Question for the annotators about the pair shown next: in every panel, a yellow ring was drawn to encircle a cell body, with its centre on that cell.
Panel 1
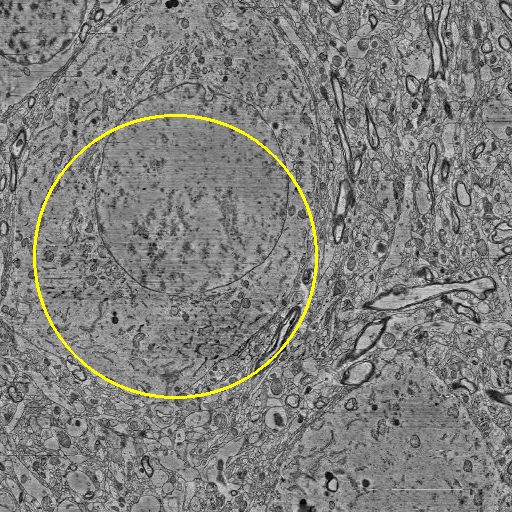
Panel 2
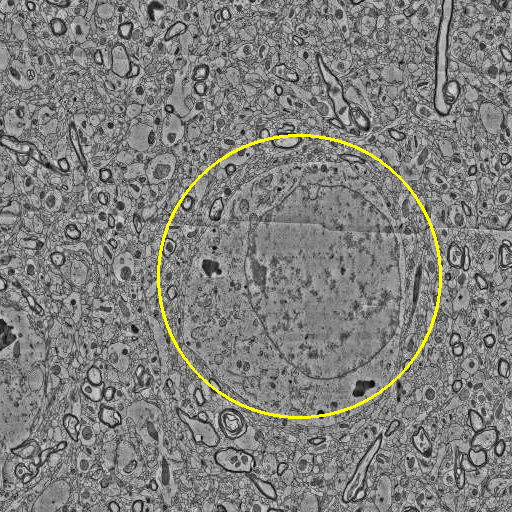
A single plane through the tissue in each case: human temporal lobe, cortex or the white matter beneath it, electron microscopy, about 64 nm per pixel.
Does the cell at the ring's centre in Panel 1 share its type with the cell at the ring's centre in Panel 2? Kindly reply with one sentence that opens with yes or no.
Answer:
Yes, in Panels 1 and 2 the cells at the ring centres belong to a single type.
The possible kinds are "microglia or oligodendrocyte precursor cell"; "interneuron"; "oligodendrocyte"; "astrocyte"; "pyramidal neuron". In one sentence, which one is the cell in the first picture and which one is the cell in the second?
The cell at the ring centre is a pyramidal neuron in both pictures.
